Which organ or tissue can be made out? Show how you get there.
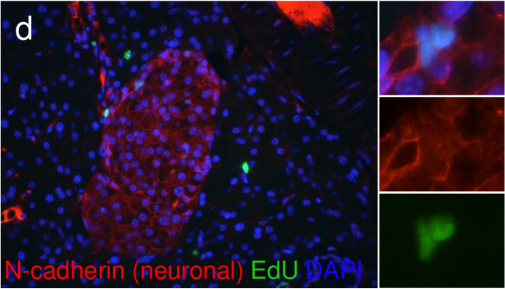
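Islets. An oval, sharply bounded cluster of cells with red membrane outlines lies amid surrounding tissue. The cells of the cluster are smaller and more tightly packed than those around it.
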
